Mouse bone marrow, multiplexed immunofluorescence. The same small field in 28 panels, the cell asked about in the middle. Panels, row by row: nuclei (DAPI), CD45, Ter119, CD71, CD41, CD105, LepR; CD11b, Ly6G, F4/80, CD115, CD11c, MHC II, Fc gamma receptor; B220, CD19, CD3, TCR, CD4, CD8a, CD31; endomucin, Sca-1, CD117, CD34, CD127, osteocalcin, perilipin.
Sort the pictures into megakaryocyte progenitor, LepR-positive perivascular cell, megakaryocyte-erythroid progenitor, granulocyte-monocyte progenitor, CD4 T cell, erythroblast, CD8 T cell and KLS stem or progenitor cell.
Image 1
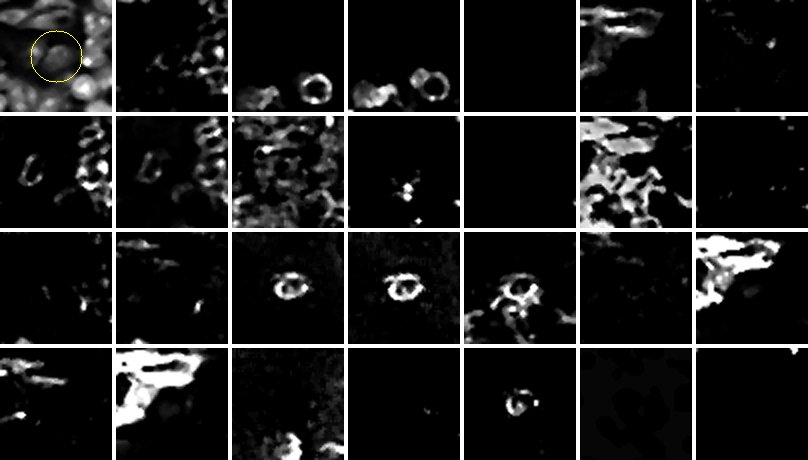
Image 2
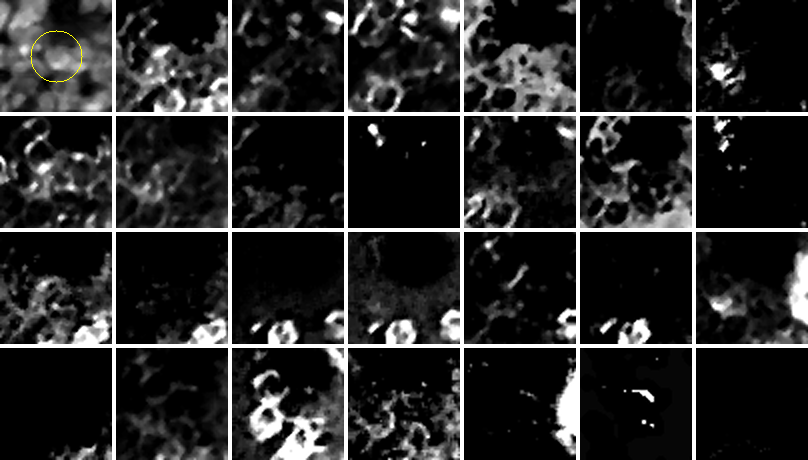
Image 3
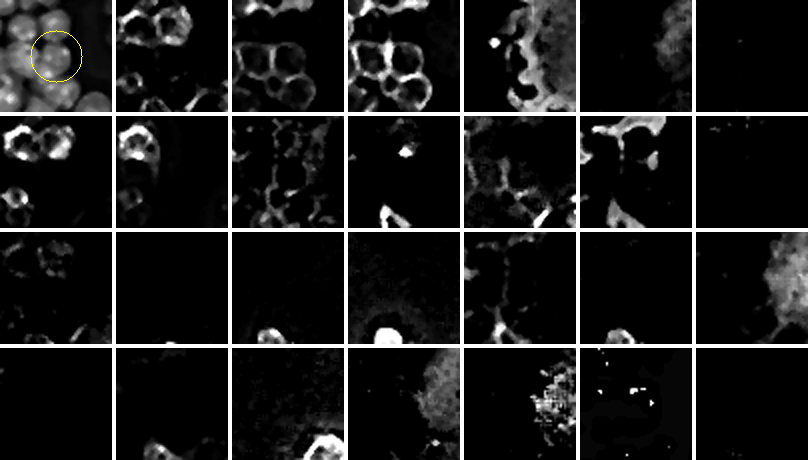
CD4 T cells: 1
Megakaryocyte progenitors: 2
Erythroblasts: 3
